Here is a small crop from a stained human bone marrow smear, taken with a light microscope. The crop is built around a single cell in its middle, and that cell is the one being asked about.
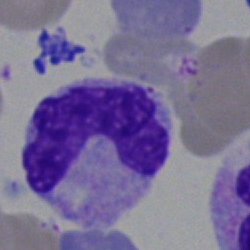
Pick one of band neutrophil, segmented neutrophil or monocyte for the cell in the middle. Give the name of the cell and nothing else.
band neutrophil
